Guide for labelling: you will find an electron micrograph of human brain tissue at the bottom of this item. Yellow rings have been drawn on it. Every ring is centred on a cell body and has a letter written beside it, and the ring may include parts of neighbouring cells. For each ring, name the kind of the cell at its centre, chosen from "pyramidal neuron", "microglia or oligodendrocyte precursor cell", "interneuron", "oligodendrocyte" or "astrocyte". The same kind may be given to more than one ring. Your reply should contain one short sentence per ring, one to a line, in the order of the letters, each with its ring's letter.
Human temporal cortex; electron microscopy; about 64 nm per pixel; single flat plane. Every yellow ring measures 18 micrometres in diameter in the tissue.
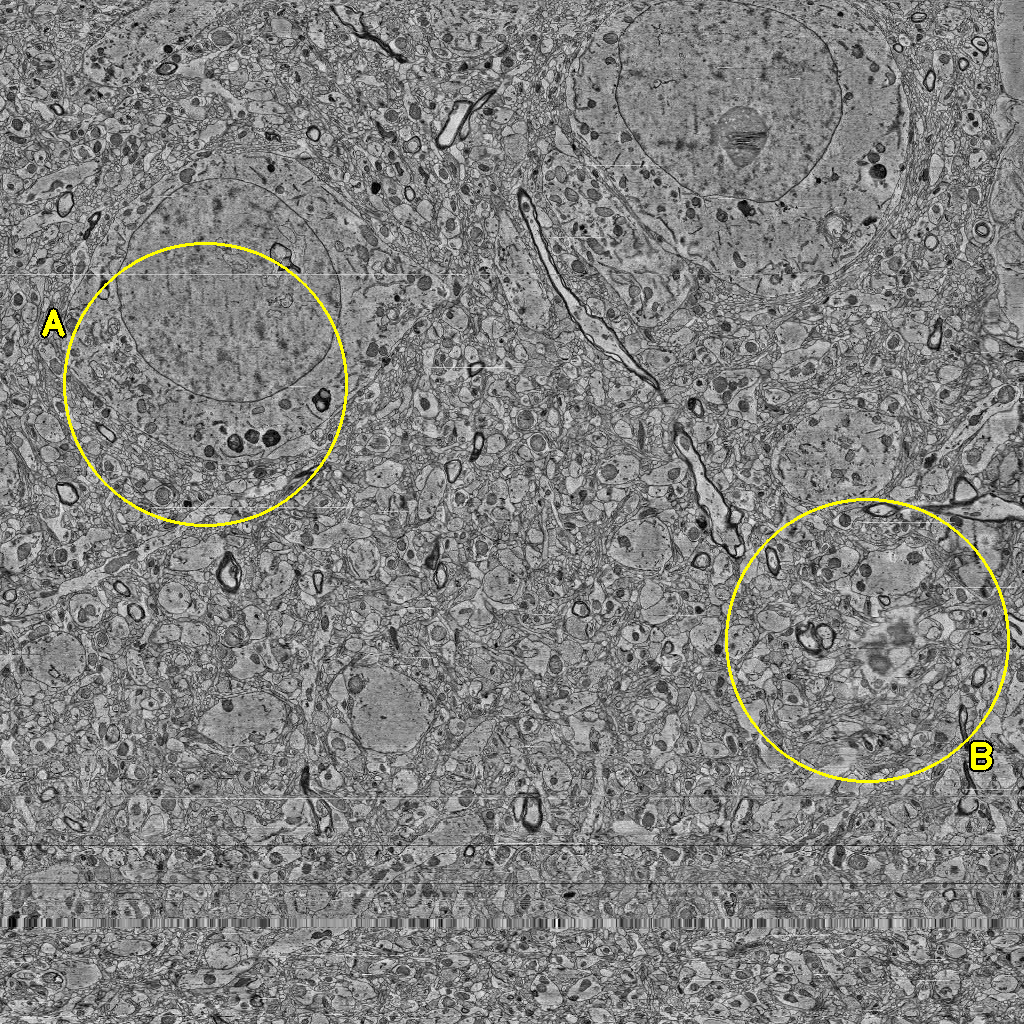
Ring A is centred on the body of a pyramidal neuron.
Ring B is centred on the body of a microglial cell or oligodendrocyte precursor cell.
